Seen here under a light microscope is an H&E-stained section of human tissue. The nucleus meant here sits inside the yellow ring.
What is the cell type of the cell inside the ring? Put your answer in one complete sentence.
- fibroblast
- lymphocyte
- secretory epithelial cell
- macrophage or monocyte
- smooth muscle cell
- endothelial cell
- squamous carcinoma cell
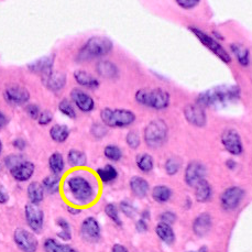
The cell meant here is a squamous carcinoma cell.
